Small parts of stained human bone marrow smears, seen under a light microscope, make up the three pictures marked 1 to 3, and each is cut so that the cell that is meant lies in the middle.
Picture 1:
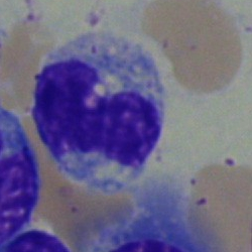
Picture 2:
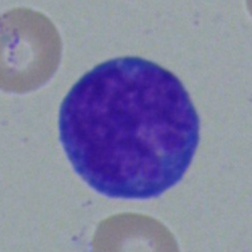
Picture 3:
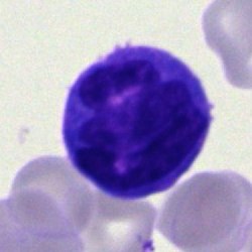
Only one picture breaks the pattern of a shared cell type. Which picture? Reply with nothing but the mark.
2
